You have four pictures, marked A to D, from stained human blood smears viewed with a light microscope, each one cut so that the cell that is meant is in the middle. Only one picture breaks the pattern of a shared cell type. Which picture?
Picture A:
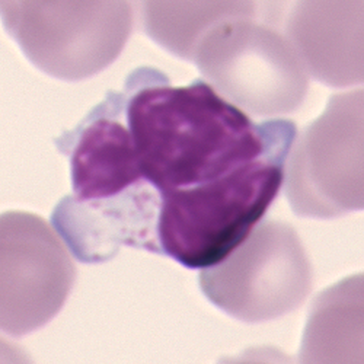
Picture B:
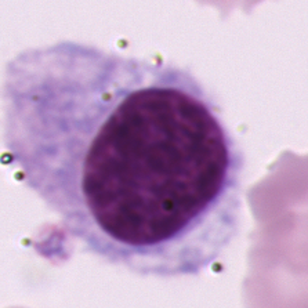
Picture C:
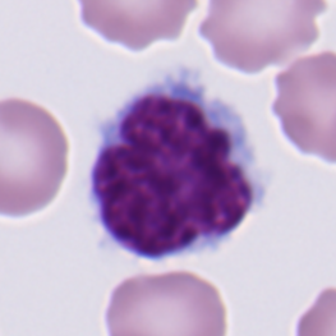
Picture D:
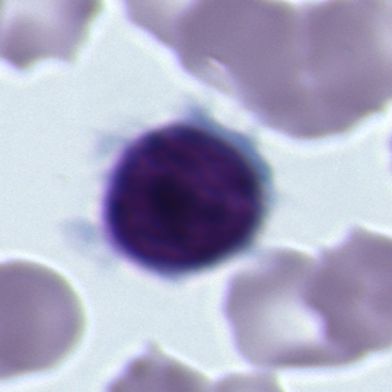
A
